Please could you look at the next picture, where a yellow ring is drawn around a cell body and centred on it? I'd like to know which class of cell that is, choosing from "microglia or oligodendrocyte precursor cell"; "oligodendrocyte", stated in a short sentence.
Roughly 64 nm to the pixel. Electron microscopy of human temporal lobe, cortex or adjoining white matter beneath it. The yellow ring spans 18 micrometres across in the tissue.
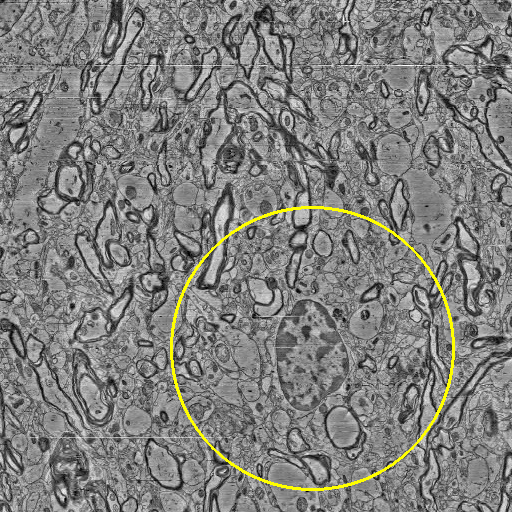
The ring's centre lies on a microglial cell or oligodendrocyte precursor cell.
